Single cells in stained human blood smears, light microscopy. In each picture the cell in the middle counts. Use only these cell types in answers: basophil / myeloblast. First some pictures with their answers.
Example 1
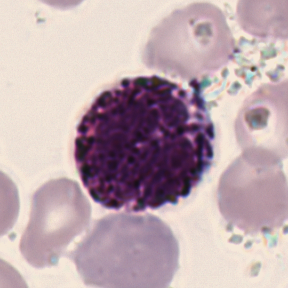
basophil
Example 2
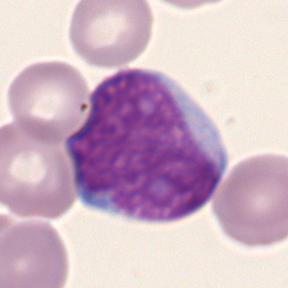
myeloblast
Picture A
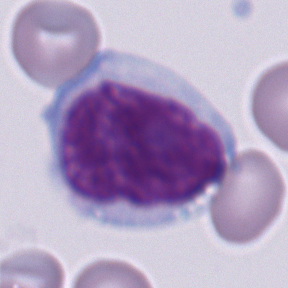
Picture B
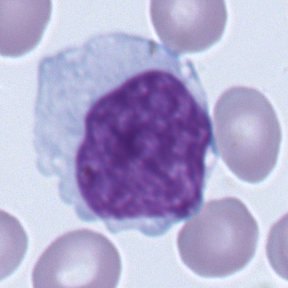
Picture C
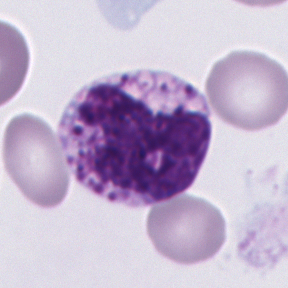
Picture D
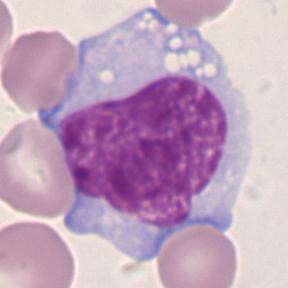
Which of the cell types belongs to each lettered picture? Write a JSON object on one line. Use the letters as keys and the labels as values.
{"A": "myeloblast", "B": "myeloblast", "C": "basophil", "D": "myeloblast"}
